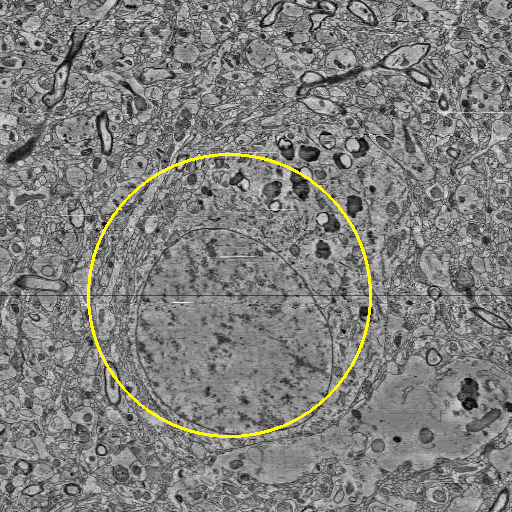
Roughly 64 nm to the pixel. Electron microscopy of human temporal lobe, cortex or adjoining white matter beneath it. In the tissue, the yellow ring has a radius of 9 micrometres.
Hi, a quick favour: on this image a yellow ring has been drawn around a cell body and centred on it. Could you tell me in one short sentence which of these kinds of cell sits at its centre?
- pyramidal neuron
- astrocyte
The ring is centred on a pyramidal neuron.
